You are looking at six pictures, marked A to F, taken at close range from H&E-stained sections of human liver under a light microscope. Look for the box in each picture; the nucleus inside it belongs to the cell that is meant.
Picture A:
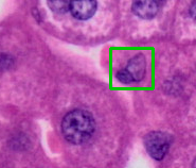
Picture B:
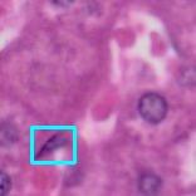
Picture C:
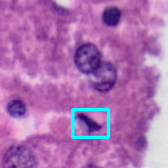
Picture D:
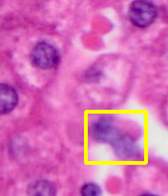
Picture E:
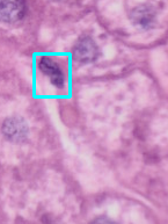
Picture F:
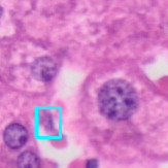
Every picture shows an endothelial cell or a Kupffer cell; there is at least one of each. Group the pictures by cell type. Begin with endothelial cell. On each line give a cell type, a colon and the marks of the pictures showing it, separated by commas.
endothelial cell: B, C
Kupffer cell: A, D, E, F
